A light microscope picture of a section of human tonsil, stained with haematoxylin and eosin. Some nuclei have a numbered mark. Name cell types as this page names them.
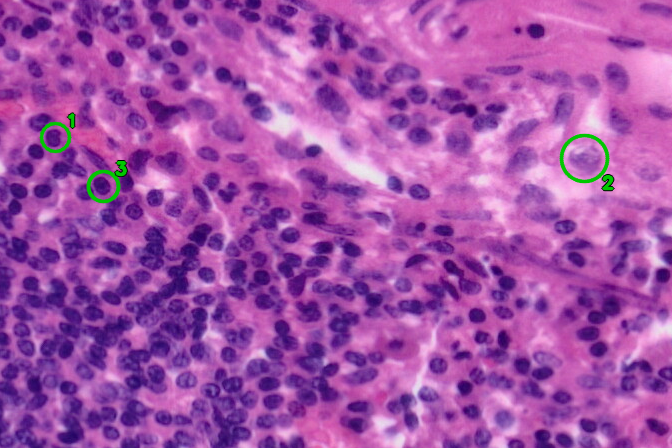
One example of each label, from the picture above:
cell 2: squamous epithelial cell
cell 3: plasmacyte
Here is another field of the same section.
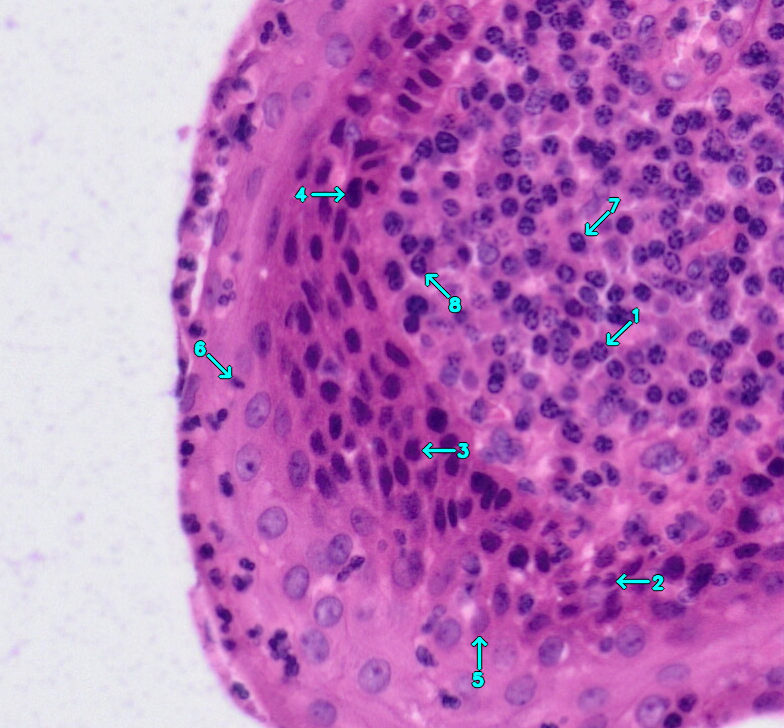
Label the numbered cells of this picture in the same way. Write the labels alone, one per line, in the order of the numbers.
plasmacyte
squamous epithelial cell
squamous epithelial cell
squamous epithelial cell
squamous epithelial cell
squamous epithelial cell
plasmacyte
plasmacyte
